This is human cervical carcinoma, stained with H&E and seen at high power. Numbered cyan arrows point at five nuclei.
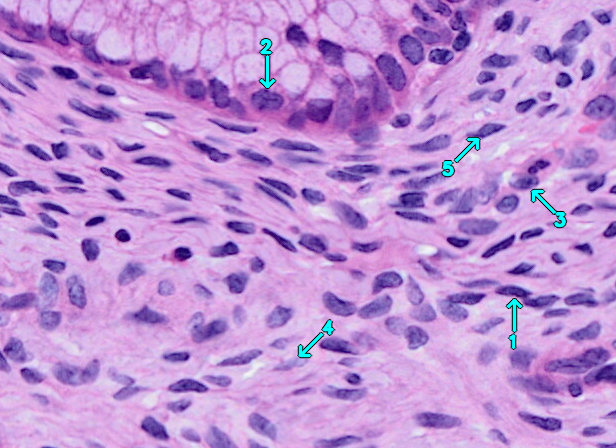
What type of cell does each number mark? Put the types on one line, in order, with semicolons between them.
fibroblast; secretory epithelial cell; endothelial cell; fibroblast; fibroblast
